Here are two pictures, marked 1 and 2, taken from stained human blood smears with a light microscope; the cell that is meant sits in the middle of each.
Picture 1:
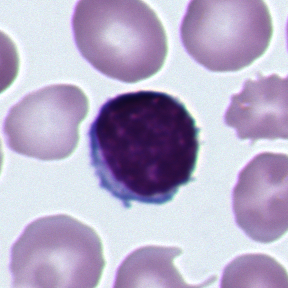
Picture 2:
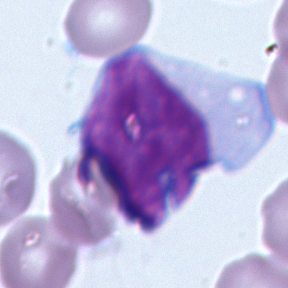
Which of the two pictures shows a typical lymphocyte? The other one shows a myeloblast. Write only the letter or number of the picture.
1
